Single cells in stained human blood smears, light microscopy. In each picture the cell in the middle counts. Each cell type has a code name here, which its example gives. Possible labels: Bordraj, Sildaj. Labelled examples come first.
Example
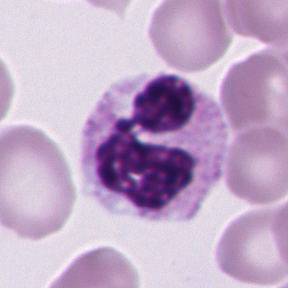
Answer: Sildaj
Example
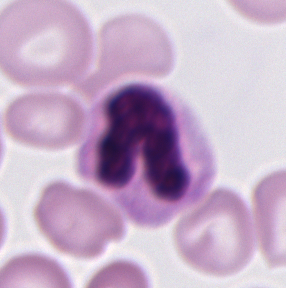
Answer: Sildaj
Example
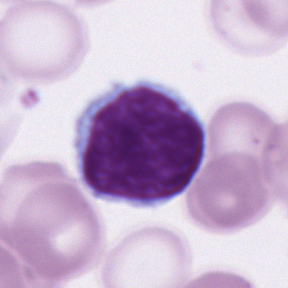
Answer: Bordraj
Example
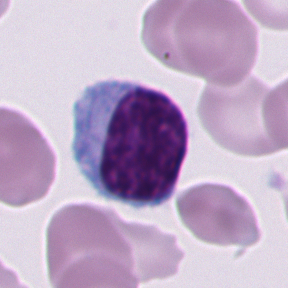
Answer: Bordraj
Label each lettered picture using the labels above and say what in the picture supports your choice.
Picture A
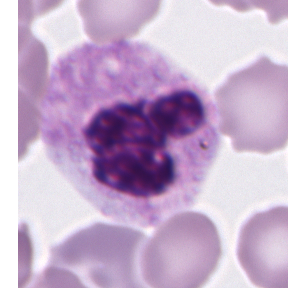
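Label: Sildaj. The nucleus is divided into several lobes joined together.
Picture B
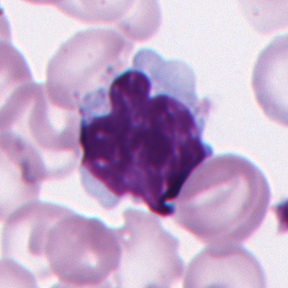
Label: Bordraj. The cytoplasm is scant, a pale greyish rim seen mainly above the nucleus.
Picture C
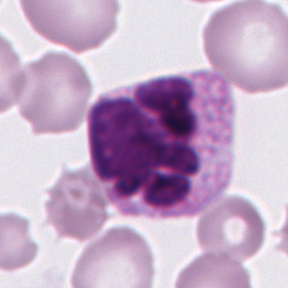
Label: Sildaj. The cytoplasm is pale pinkish-lilac rather than blue.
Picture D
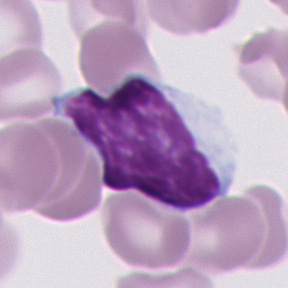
Label: Bordraj. The cytoplasm is scant and lies mainly on the right side of the nucleus.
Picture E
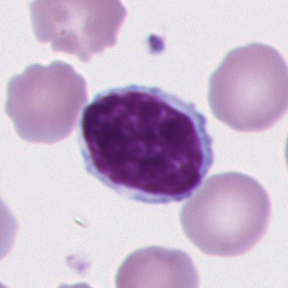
Label: Bordraj. The cytoplasm forms a thin pale grey-blue rim around the nucleus.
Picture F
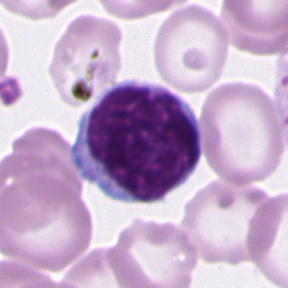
Label: Bordraj. The cytoplasm is a narrow rim around the nucleus.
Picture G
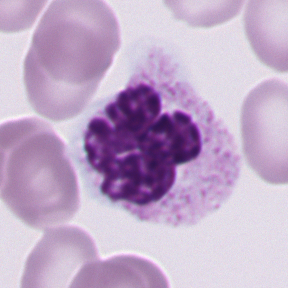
Label: Sildaj. The nucleus sits toward the left, leaving a wider band of pale pink cytoplasm on the right.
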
